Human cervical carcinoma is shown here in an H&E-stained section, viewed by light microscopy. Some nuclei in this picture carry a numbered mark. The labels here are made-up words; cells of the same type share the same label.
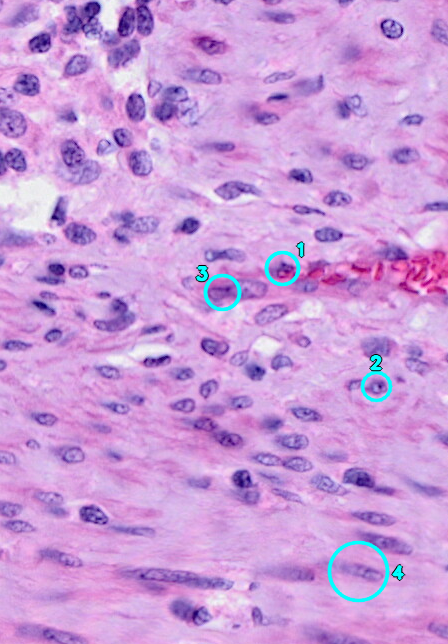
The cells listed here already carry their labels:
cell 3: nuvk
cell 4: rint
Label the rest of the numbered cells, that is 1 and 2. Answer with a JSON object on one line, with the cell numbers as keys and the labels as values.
{"1": "nuvk", "2": "rint"}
